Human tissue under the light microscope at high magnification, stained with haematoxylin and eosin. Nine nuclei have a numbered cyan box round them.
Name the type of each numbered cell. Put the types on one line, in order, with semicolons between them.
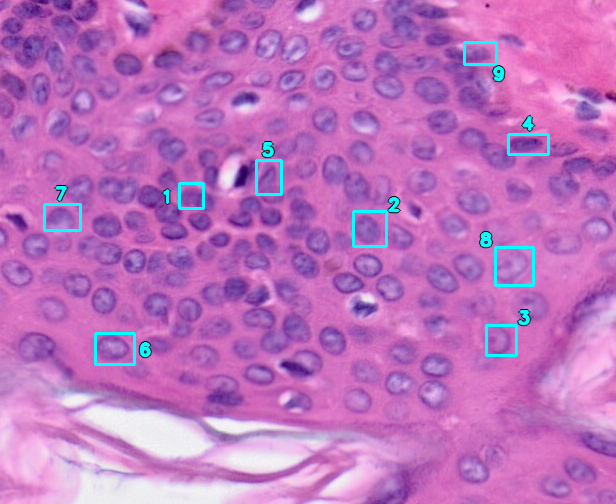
basal keratinocyte; suprabasal keratinocyte; suprabasal keratinocyte; basal keratinocyte; basal keratinocyte; suprabasal keratinocyte; suprabasal keratinocyte; suprabasal keratinocyte; basal keratinocyte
